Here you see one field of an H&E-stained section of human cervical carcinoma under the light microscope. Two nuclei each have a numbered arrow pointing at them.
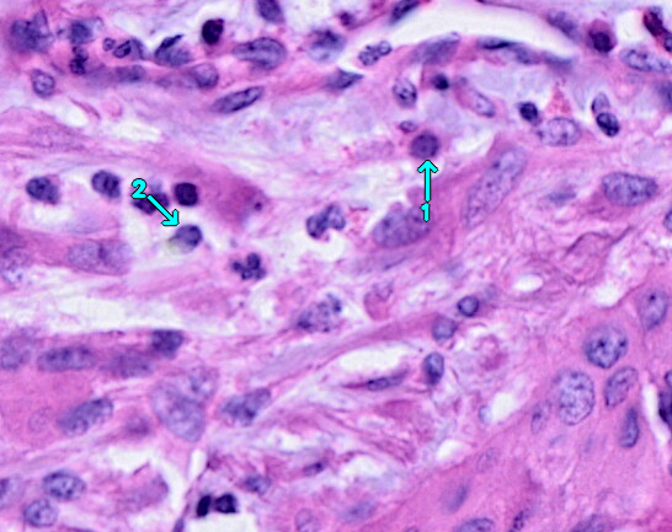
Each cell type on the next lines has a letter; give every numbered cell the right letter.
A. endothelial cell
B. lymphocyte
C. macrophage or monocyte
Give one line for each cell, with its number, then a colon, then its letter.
1: C
2: B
